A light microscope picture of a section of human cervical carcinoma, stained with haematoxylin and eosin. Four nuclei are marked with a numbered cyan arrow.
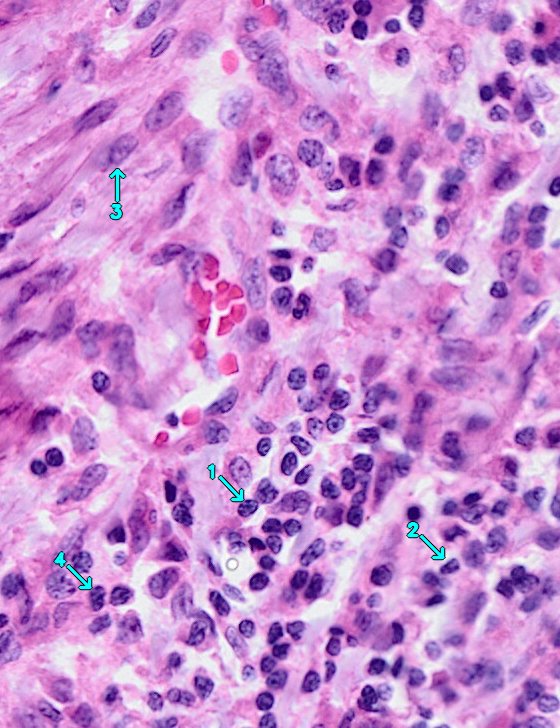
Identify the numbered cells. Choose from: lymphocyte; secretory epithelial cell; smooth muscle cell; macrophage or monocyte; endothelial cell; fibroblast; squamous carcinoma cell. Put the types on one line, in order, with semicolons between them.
lymphocyte; lymphocyte; fibroblast; lymphocyte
